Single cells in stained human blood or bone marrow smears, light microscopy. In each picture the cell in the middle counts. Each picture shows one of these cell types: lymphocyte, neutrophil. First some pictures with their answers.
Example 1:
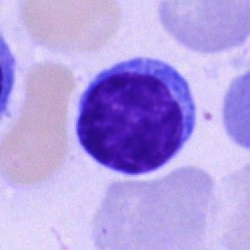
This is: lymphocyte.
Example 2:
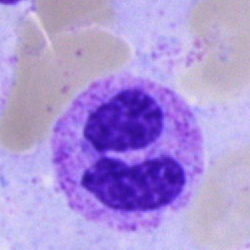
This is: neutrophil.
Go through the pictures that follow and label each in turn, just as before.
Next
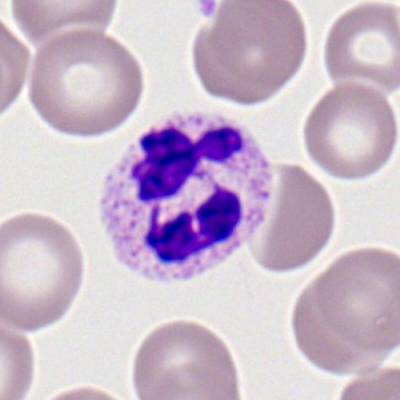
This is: neutrophil.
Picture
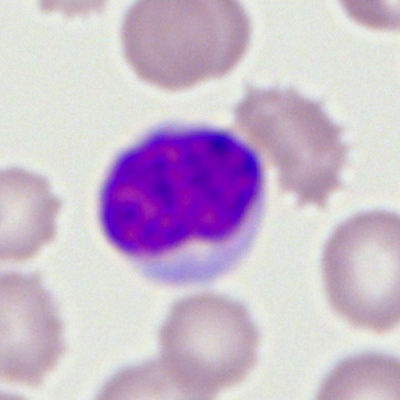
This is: lymphocyte.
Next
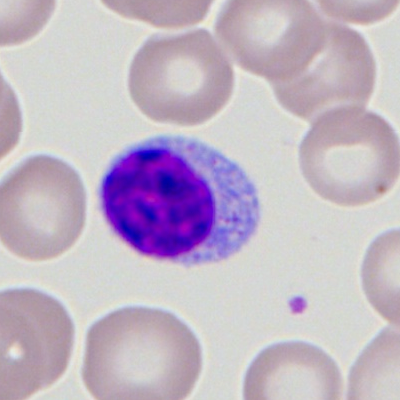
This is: lymphocyte.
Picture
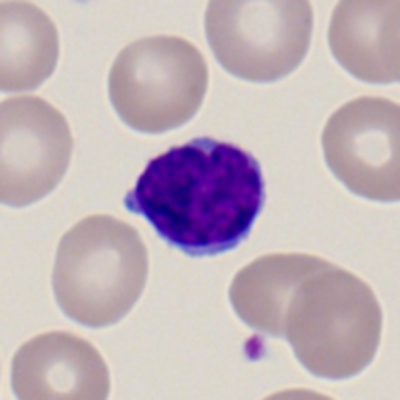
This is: lymphocyte.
